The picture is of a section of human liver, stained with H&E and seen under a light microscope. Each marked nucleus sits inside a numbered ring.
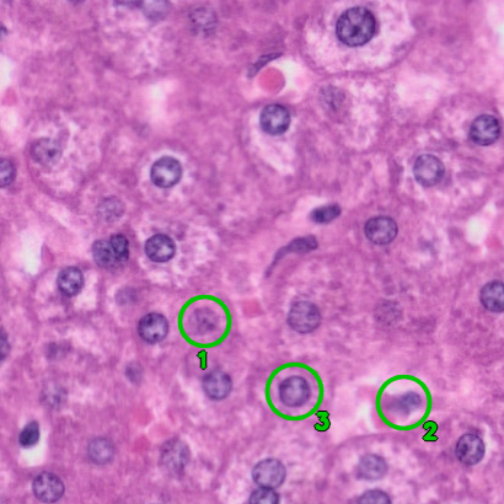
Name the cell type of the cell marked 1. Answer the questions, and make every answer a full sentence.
The nucleus with number 1 is that of a hepatocyte.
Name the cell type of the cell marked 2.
The marked cell bearing number 2 is a Kupffer cell.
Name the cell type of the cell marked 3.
The cell indicated with the number 3 is classed as a hepatocyte.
